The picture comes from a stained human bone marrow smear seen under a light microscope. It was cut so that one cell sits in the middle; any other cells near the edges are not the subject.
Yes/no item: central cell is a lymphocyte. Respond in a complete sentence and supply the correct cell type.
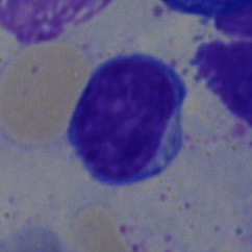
Yes, a lymphocyte is present in the middle of the crop.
